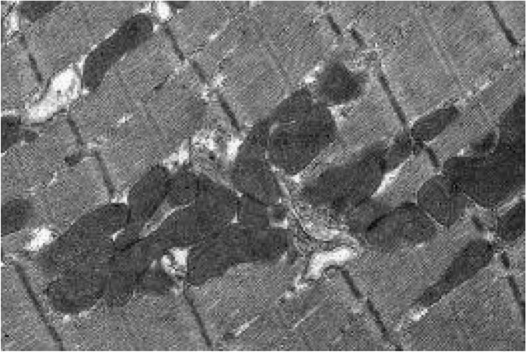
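This is heart muscle seen at the level of its organelles: parallel myofibrils run diagonally across the field, divided into regular sarcomeres by thin dark transverse lines spaced at even intervals, with the fine banding of the filaments visible between them. Smaller mitochondria sit singly between neighbouring myofibrils. A few irregular pale clefts lie among the mitochondria. The myofibrils stay aligned and the mitochondria keep smooth, intact outlines without obvious swelling.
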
